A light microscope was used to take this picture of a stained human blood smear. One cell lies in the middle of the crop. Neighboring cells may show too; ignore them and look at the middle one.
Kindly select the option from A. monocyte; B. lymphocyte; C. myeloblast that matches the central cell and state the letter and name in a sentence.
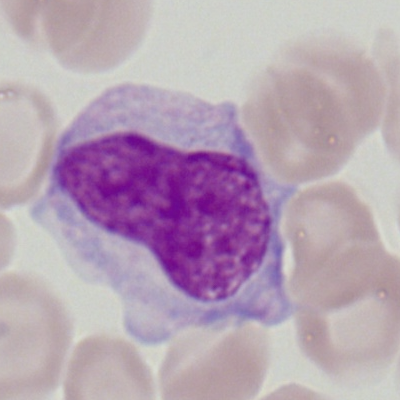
The cell centred in the crop is a monocyte, and the correct option is thus A.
